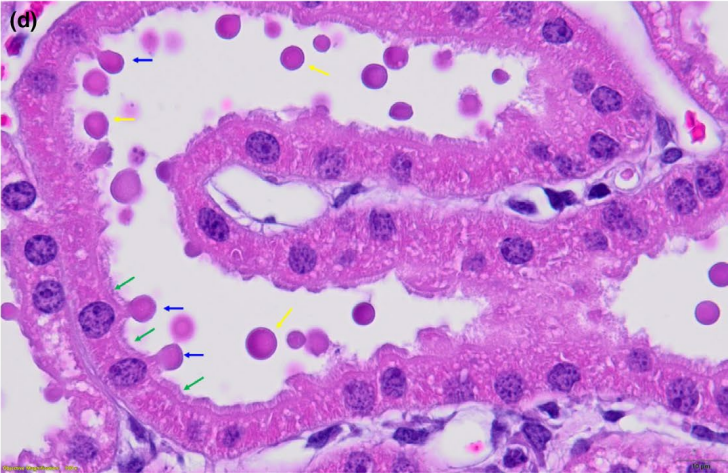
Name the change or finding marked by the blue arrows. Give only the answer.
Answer: blebs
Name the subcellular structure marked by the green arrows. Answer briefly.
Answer: Brush border.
